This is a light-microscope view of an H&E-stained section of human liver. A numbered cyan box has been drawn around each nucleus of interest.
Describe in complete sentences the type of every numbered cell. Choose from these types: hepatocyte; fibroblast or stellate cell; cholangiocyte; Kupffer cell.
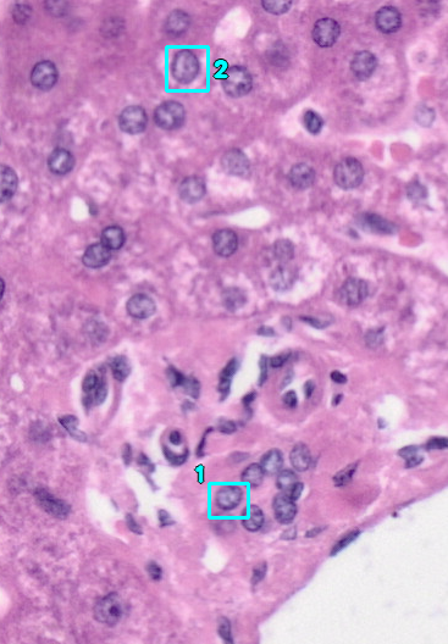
Cell 1 is a cholangiocyte and cell 2 is a hepatocyte.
